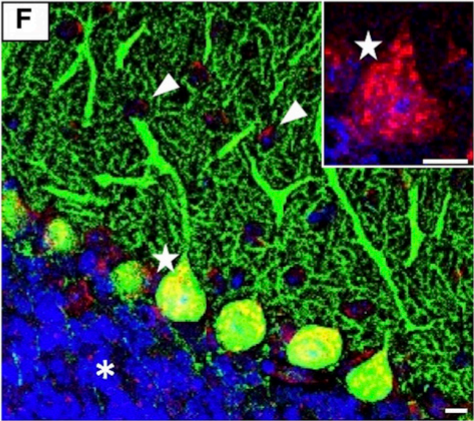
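Cerebellar cortex with a row of large, flask-shaped Purkinje cells lying between the granule cell layer and the molecular layer. The cell bodies are green to yellow, and thick green dendrites branch upward through a dense green meshwork. The inset shows a Purkinje cell body with granular red label in its cytoplasm. Below the row lies a layer of densely packed small blue nuclei, and a few small cells are scattered in the molecular layer.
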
